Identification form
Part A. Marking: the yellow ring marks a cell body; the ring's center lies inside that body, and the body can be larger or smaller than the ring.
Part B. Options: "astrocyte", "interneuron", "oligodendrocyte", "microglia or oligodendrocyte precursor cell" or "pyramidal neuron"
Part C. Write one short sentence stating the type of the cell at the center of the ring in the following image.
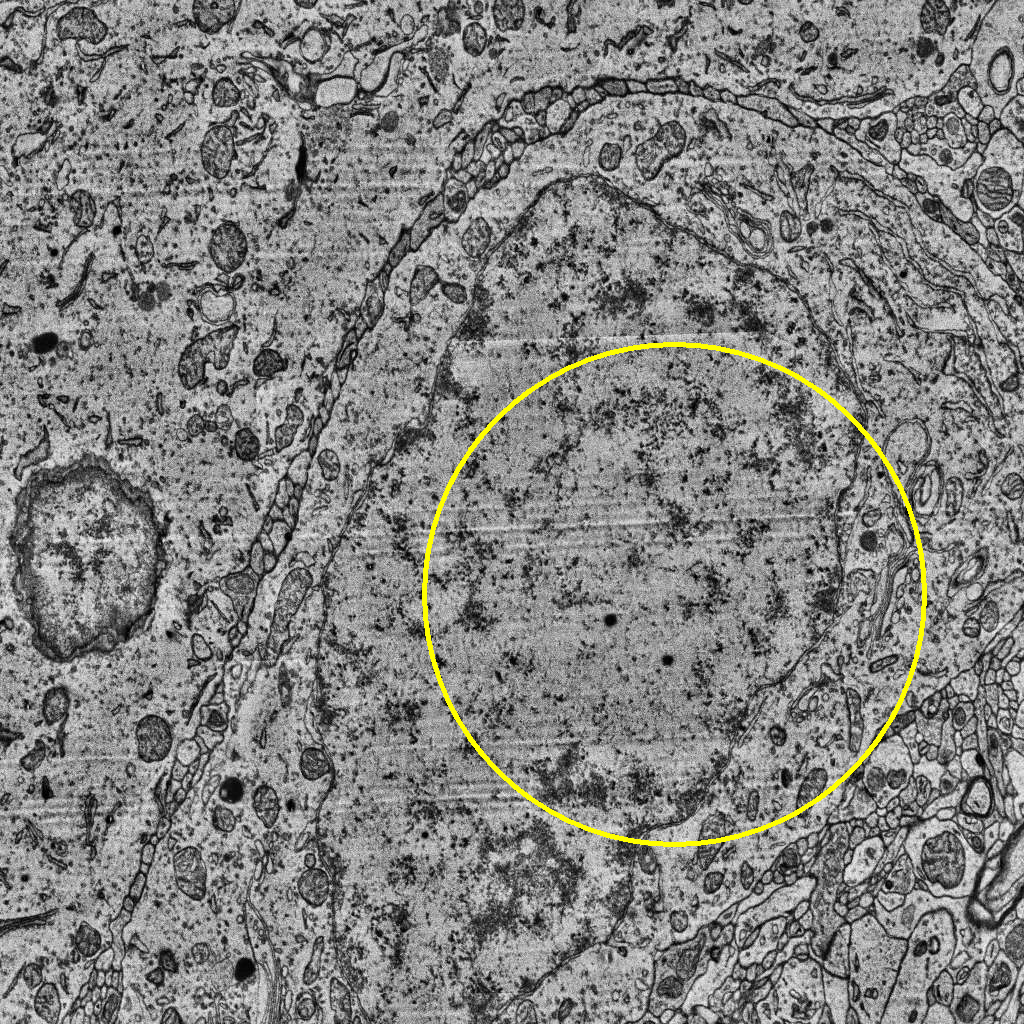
The center of the ring holds an interneuron.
